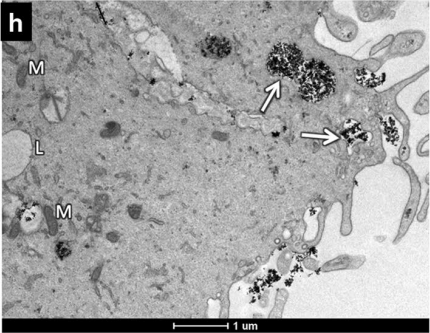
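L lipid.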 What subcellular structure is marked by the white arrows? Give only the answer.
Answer: Vesicles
